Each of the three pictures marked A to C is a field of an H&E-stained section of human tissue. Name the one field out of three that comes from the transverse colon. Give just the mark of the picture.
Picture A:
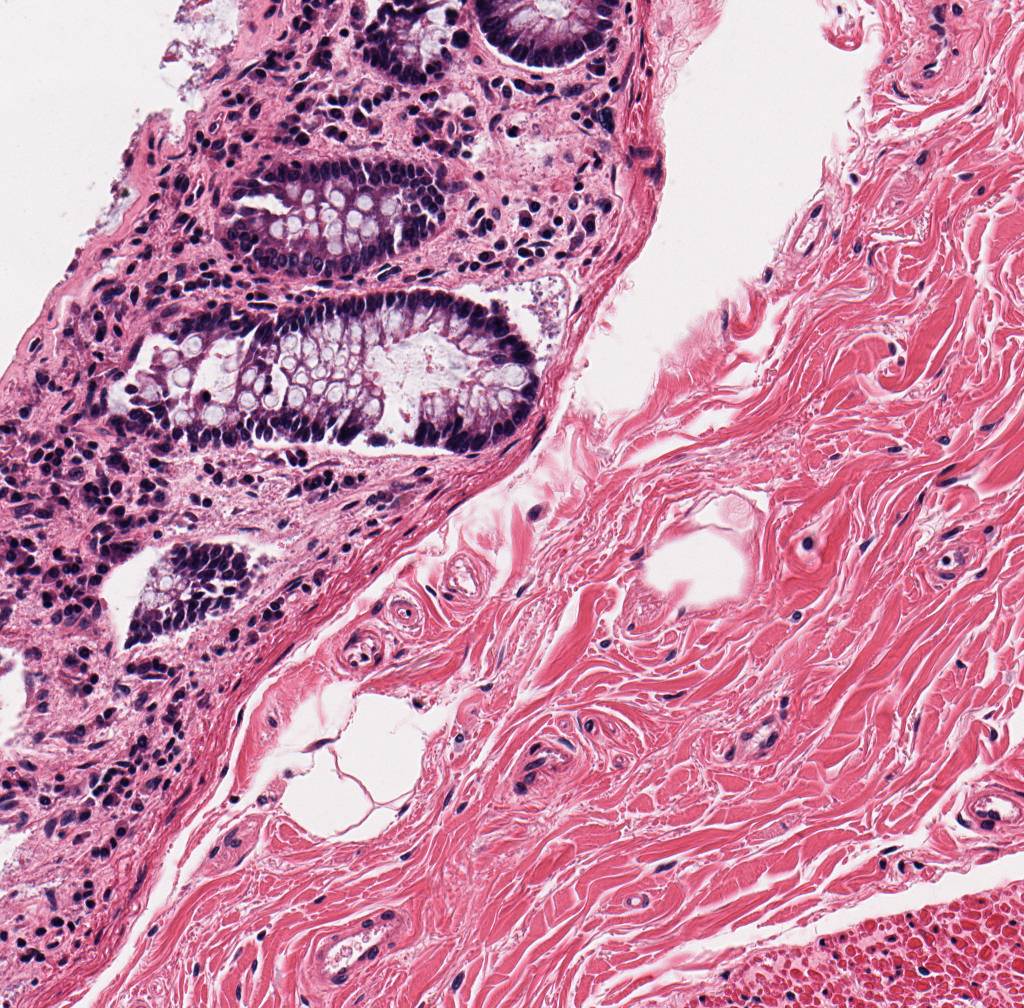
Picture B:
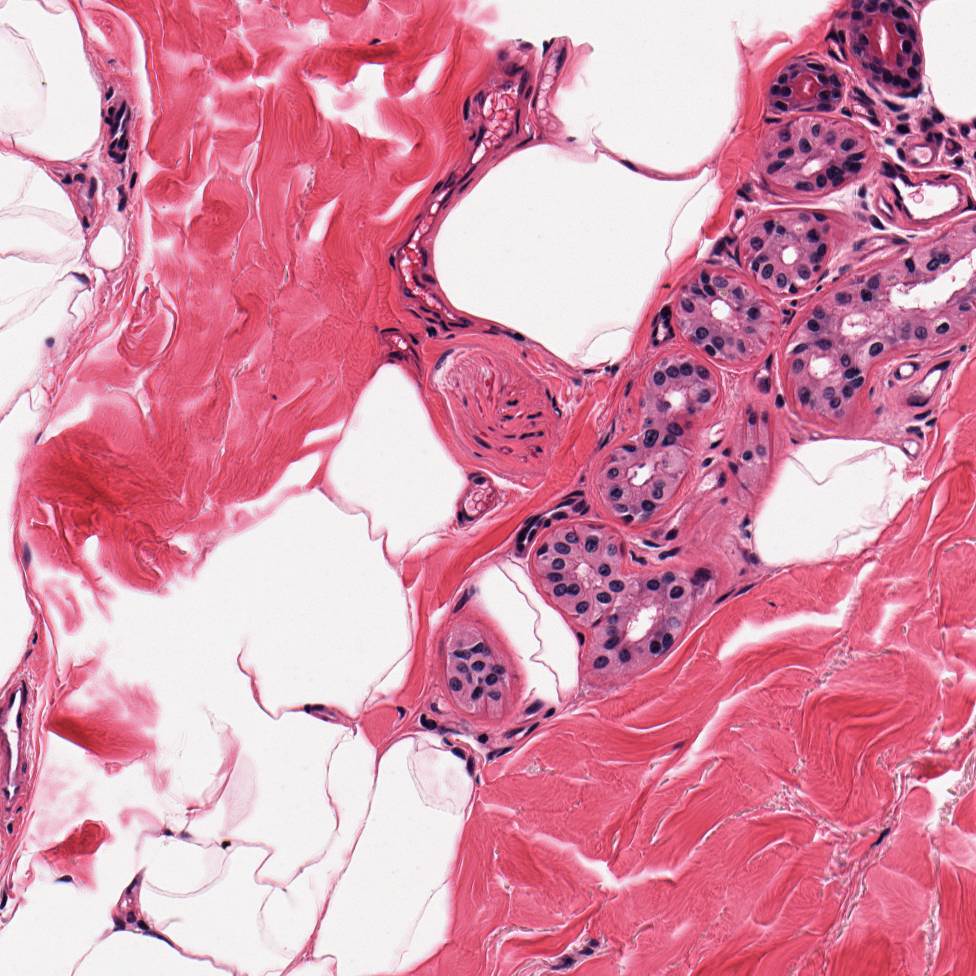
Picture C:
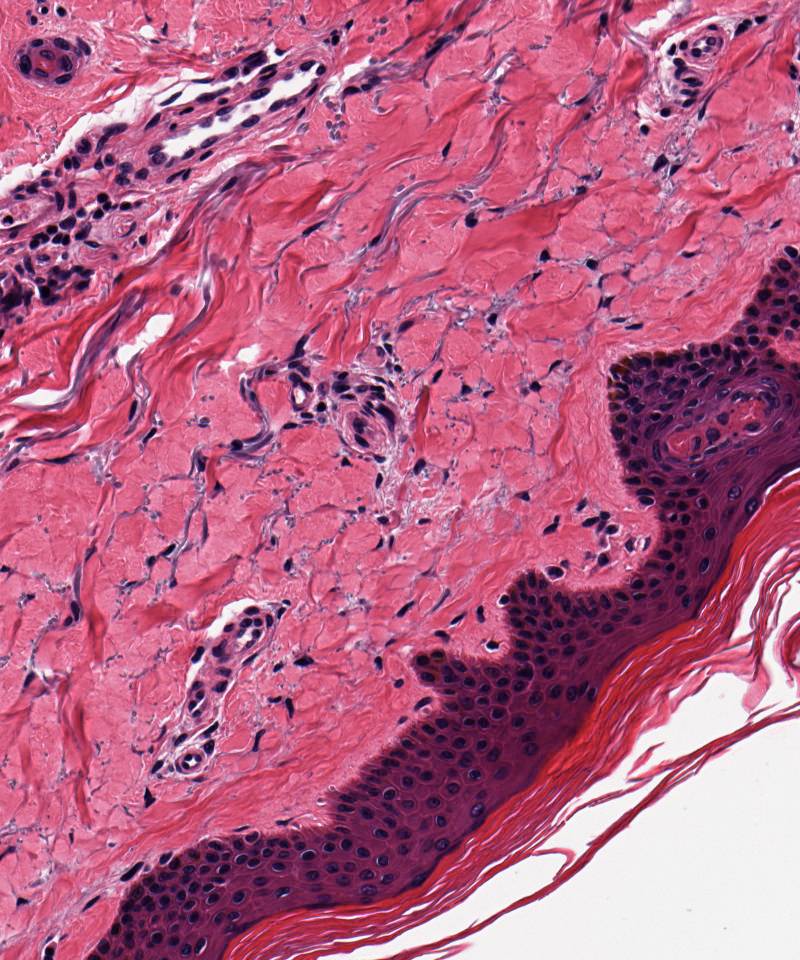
A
